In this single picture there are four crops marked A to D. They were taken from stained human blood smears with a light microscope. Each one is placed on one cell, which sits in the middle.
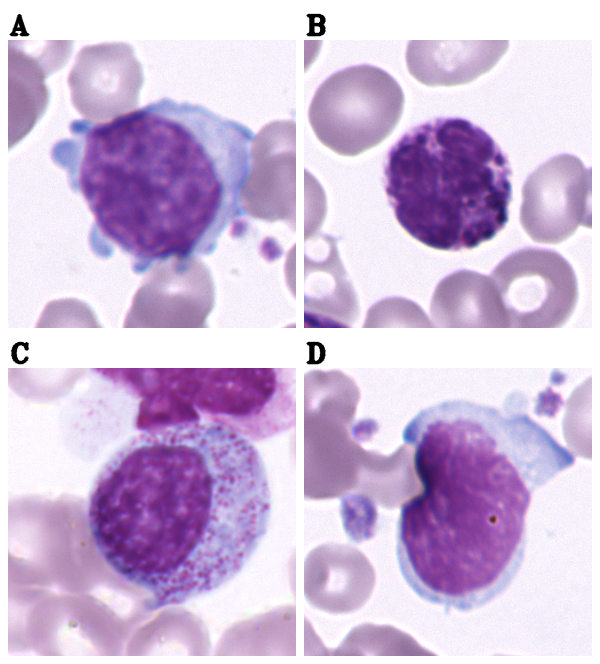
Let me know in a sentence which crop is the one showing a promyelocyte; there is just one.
On review of the set, crop C is the one showing a promyelocyte.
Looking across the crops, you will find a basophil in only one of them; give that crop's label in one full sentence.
Crop B is the crop whose central cell is a basophil.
